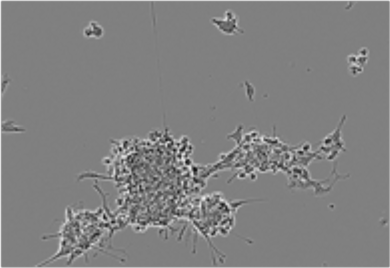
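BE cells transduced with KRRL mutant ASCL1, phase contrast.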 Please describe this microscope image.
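Thin processes extend from the aggregates into the surroundings and link some of them to smaller clusters nearby. Much of the field between the aggregates is empty dish surface.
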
